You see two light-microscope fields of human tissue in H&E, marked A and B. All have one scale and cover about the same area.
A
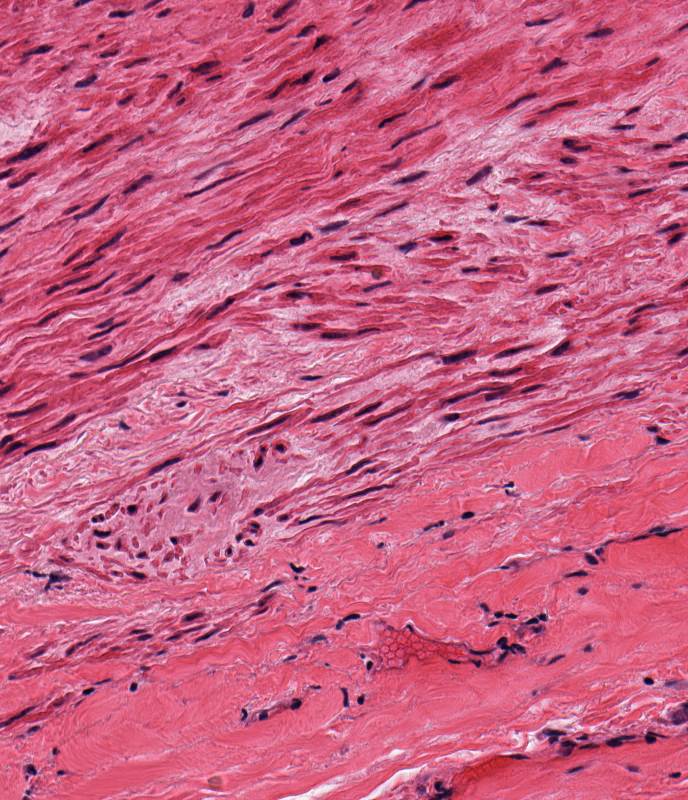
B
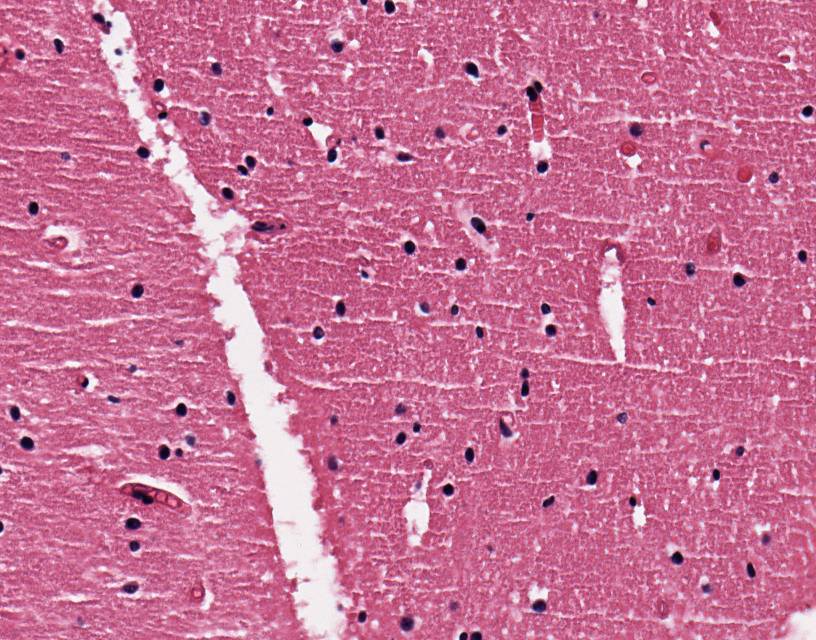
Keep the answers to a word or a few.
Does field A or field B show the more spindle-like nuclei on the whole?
A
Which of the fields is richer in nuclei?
A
